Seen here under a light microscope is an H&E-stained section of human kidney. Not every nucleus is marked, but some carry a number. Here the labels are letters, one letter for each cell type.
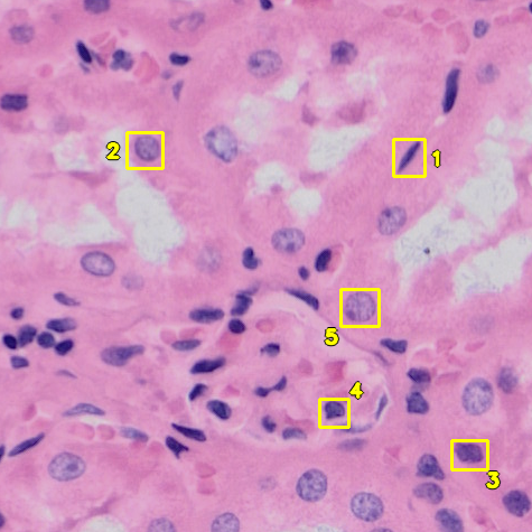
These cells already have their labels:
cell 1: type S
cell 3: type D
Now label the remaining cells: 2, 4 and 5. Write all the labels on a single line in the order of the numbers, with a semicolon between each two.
type D; type S; type D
